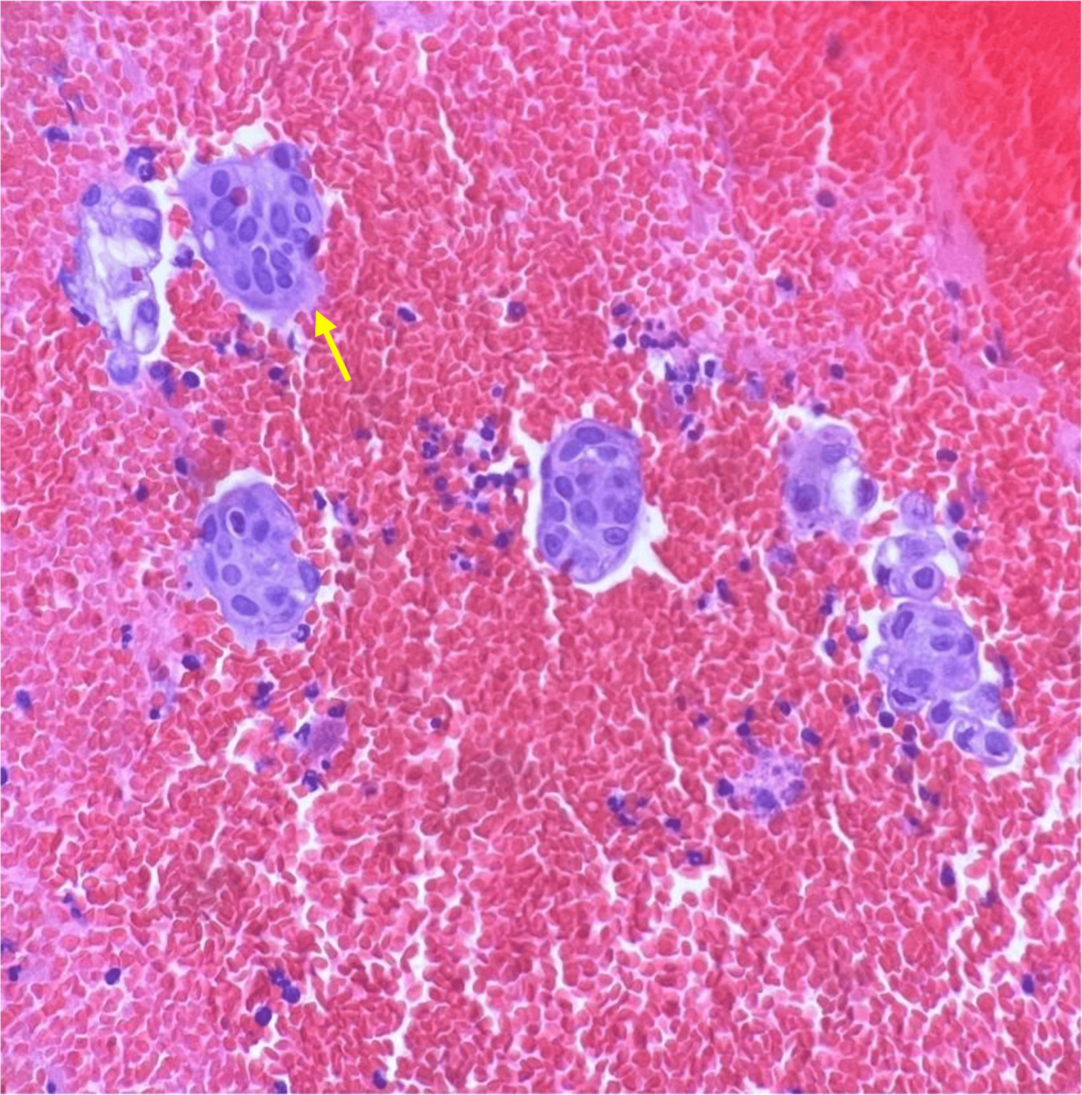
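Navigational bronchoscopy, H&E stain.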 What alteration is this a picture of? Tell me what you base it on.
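Cells in the clusters have large oval nuclei that take up much of each cell.
Answer: increased nuclear-to-cytoplasmic ratio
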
